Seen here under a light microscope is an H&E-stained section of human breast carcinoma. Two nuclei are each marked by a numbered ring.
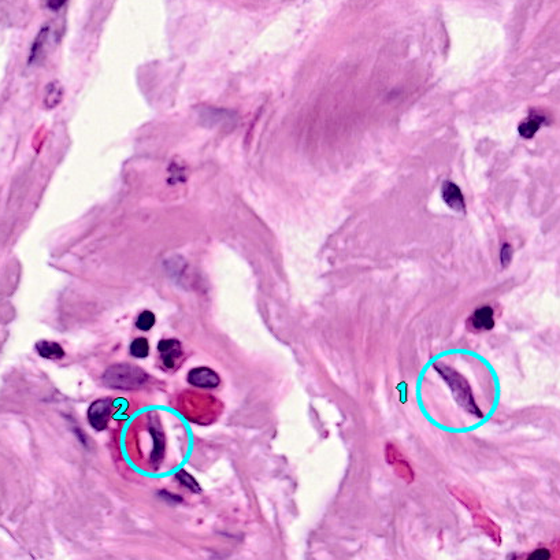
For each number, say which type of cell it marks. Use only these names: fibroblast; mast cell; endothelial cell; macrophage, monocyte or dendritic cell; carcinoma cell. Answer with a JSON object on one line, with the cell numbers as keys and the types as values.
{"1": "fibroblast", "2": "endothelial cell"}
